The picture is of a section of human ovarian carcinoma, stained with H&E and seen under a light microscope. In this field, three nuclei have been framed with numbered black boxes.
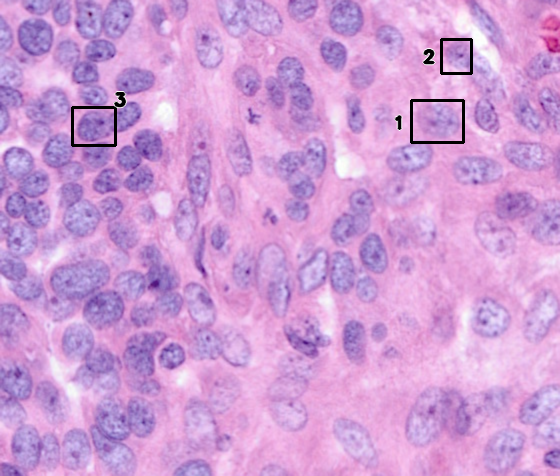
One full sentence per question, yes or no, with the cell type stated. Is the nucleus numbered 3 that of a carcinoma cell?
Yes, the cell that number 3 points to is a carcinoma cell.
